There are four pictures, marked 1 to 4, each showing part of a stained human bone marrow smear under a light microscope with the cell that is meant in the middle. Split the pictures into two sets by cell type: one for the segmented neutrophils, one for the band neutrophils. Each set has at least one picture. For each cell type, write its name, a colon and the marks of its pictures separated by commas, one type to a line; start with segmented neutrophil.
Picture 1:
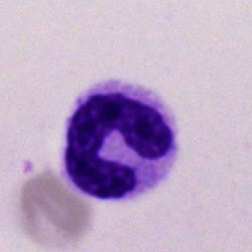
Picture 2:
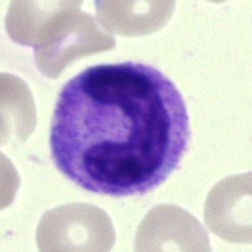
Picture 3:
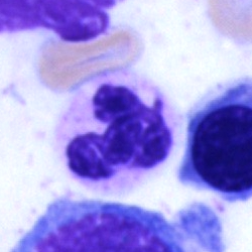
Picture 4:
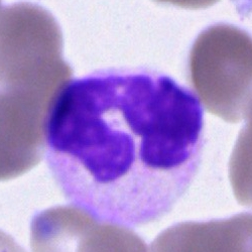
segmented neutrophil: 3
band neutrophil: 1, 2, 4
